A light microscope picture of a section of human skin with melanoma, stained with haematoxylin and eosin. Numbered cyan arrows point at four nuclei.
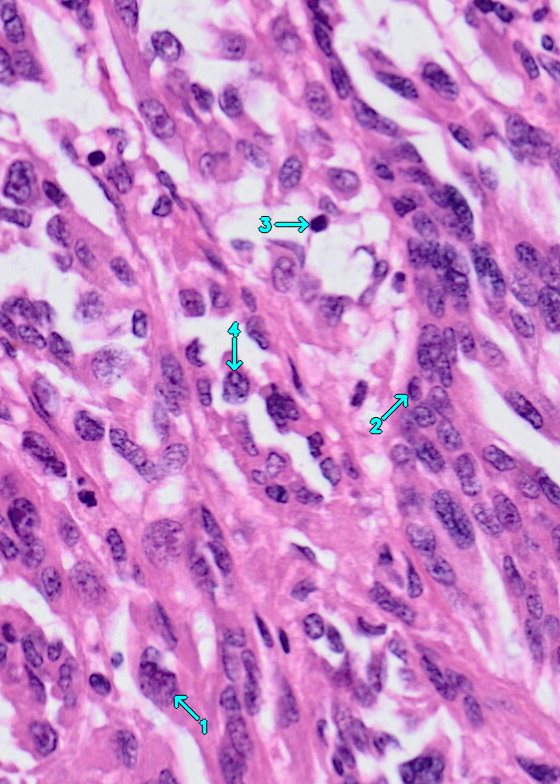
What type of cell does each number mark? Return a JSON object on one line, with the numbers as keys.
{"1": "melanoma cell", "2": "melanoma cell", "3": "lymphocyte", "4": "melanoma cell"}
